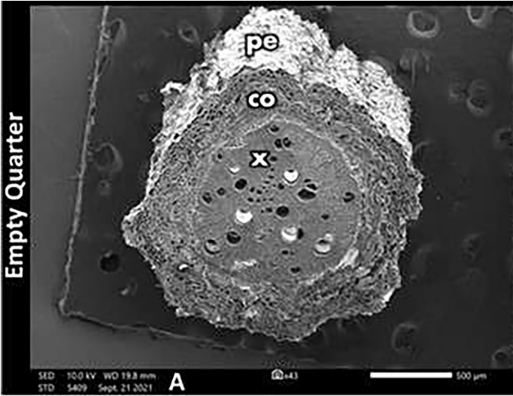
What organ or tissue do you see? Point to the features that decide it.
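A roughly round cross-section of a small axial organ. A solid central core of wood with scattered open vessels and no pith. A ring of outer tissue with a rough surface layer around the core.
Hence: root.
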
